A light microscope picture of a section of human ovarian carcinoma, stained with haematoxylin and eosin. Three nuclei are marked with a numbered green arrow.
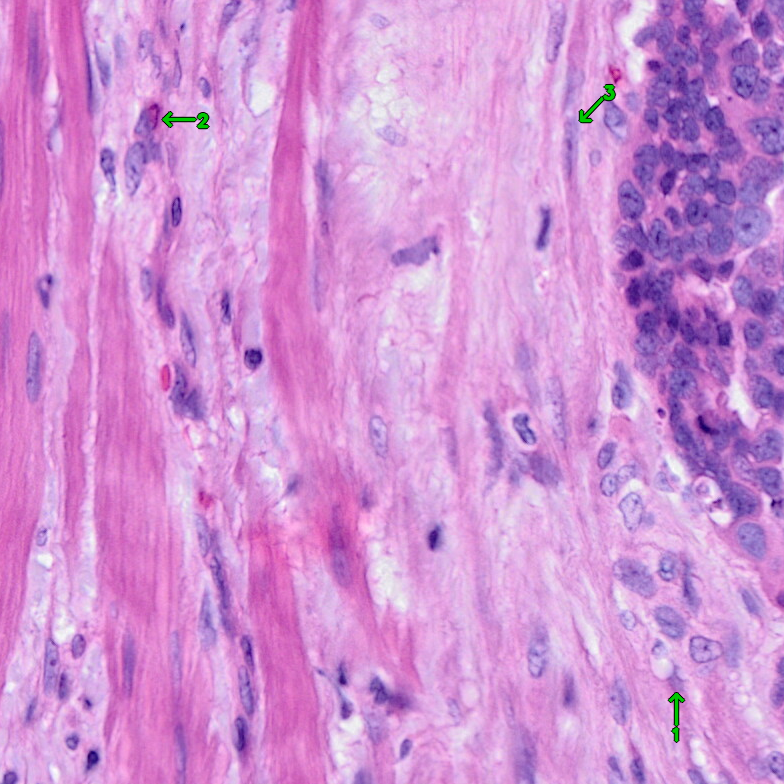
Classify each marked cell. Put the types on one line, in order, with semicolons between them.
fibroblast; endothelial cell; fibroblast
